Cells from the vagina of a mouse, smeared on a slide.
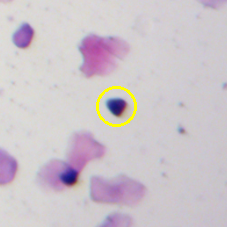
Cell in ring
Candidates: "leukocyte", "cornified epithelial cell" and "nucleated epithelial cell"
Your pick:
leukocyte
